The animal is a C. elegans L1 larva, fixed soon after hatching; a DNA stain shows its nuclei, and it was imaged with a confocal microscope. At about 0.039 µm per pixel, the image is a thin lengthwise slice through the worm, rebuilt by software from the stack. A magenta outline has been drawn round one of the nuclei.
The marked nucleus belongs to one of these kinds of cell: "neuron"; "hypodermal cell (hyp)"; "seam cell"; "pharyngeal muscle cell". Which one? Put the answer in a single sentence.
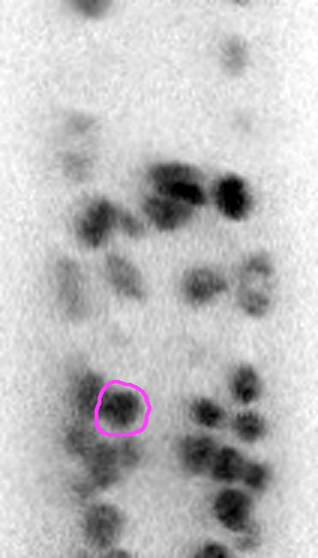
This is the nucleus of a neuron.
